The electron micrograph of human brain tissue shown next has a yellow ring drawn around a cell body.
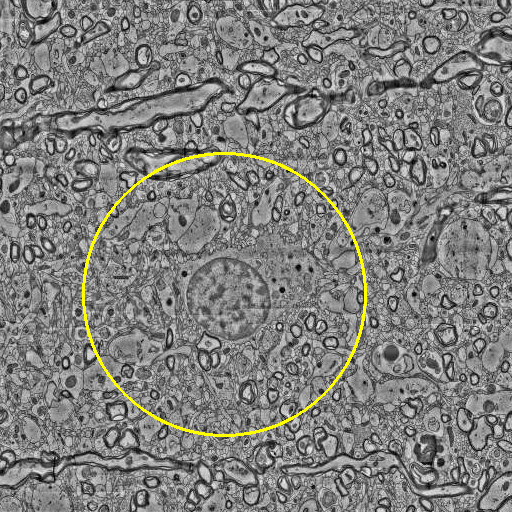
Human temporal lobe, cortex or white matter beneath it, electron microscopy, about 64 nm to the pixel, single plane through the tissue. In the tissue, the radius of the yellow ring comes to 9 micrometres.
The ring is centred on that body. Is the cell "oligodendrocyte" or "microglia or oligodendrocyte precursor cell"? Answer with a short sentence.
The cell in question is an oligodendrocyte.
